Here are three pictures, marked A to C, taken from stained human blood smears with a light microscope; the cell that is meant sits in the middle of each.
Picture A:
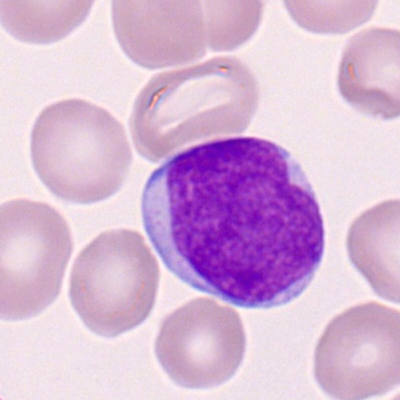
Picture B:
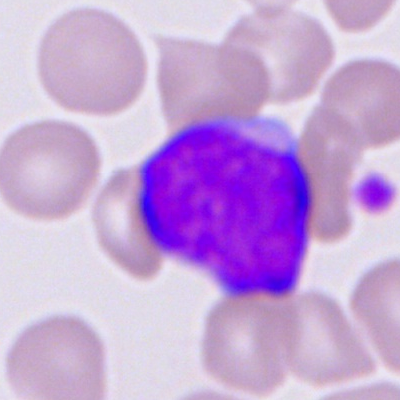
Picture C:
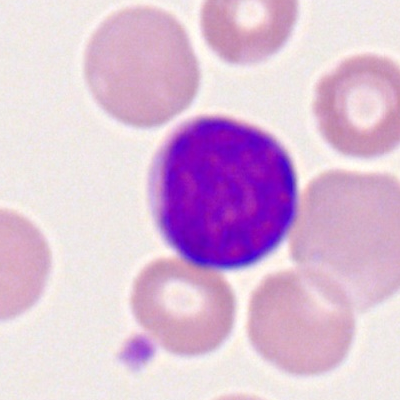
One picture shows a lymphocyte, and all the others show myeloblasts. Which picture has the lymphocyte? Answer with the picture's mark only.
C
